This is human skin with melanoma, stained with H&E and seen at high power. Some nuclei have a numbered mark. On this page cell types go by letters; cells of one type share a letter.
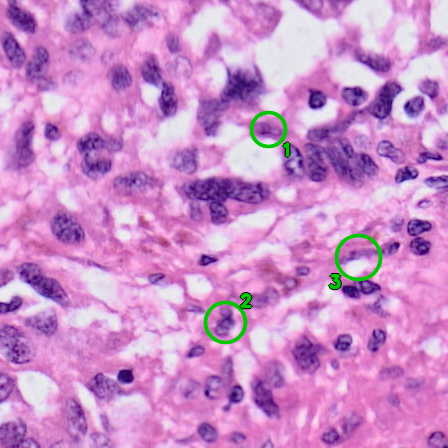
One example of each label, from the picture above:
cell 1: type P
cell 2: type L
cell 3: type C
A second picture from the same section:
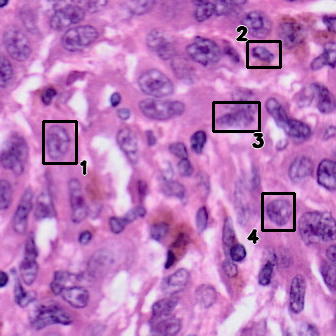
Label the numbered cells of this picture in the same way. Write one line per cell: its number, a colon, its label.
1: type P
2: type L
3: type P
4: type P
